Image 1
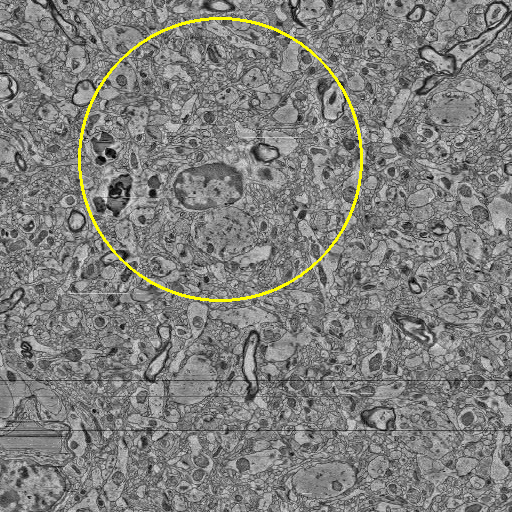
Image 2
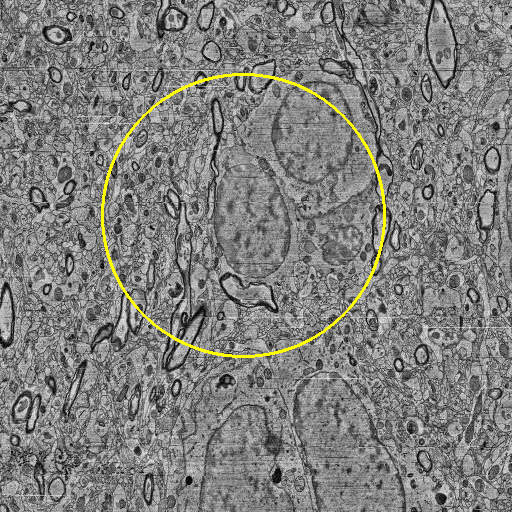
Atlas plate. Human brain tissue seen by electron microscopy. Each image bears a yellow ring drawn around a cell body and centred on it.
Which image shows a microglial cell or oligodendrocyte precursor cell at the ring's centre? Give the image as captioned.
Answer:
Image 1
